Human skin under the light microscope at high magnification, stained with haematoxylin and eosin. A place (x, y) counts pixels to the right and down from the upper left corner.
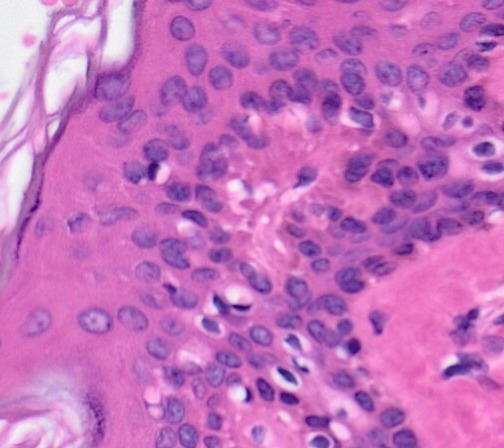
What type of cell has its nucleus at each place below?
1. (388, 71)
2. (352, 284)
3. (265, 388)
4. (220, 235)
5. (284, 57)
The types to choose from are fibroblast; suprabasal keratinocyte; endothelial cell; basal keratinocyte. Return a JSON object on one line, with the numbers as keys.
{"1": "suprabasal keratinocyte", "2": "basal keratinocyte", "3": "basal keratinocyte", "4": "basal keratinocyte", "5": "suprabasal keratinocyte"}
